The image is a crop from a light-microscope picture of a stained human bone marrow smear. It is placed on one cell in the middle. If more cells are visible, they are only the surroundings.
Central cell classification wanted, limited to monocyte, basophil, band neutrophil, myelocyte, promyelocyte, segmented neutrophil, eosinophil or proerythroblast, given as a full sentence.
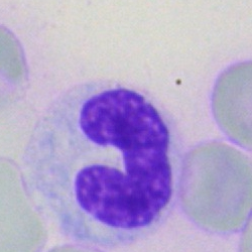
The cell at the heart of this crop is a band neutrophil.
